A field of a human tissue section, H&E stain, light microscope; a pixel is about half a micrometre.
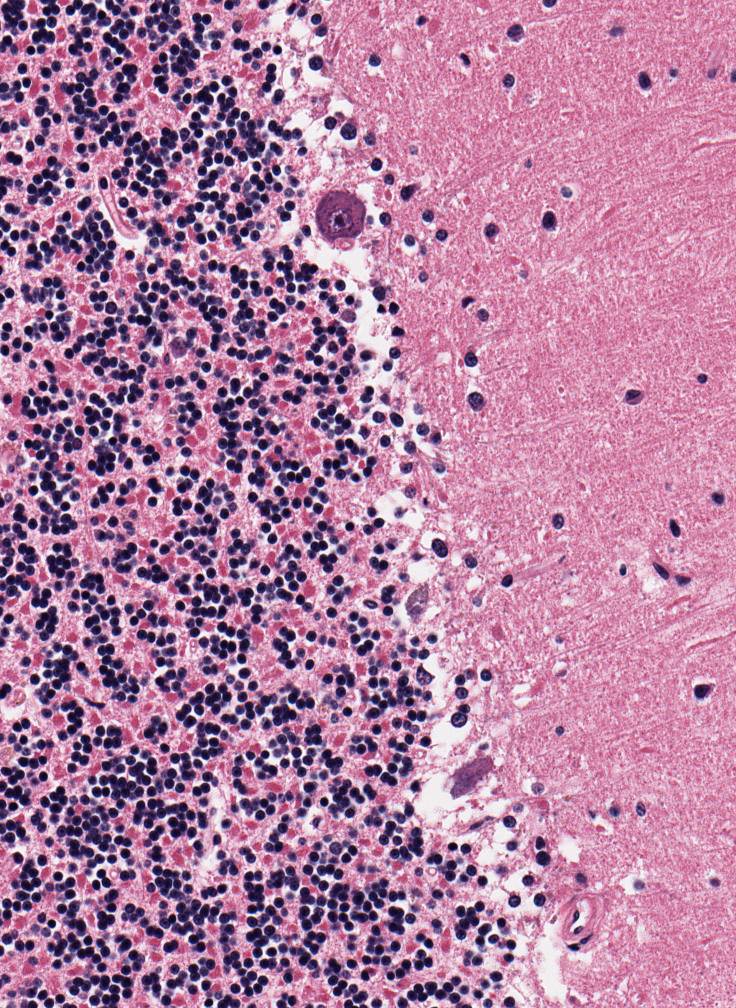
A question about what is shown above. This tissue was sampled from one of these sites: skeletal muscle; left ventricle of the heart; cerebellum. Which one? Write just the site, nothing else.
cerebellum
